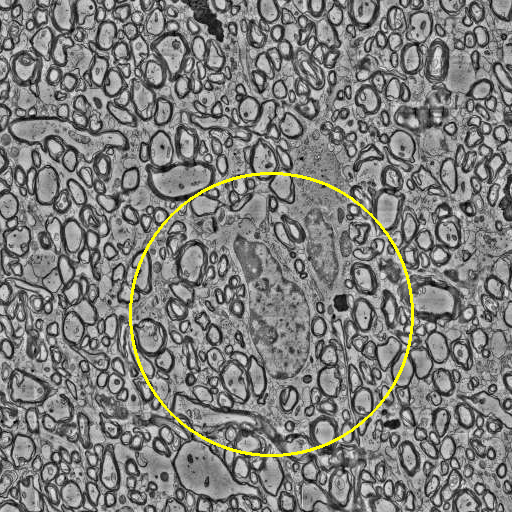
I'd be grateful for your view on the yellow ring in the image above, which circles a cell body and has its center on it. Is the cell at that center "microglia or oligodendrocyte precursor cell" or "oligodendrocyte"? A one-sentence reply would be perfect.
The cell at the center of the yellow ring is a microglial cell or oligodendrocyte precursor cell.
